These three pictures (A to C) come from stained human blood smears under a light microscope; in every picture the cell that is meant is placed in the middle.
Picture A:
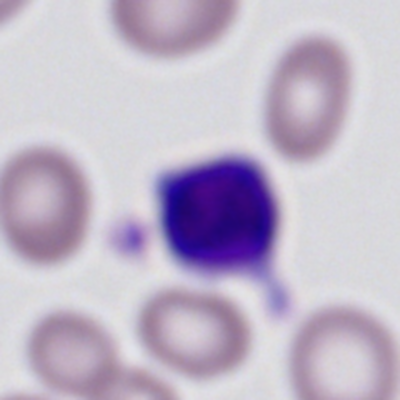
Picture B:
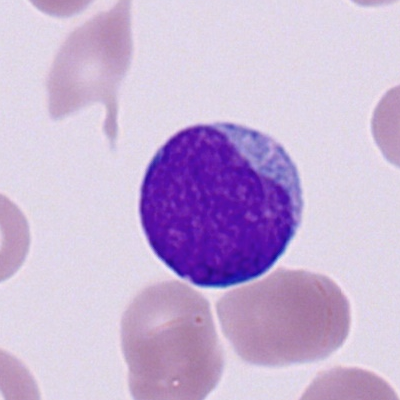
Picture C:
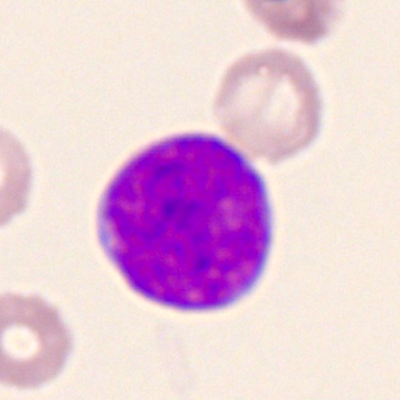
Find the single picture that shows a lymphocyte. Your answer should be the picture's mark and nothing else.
A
